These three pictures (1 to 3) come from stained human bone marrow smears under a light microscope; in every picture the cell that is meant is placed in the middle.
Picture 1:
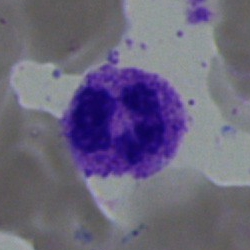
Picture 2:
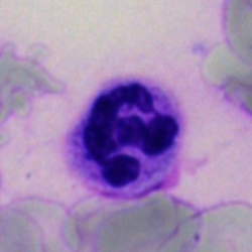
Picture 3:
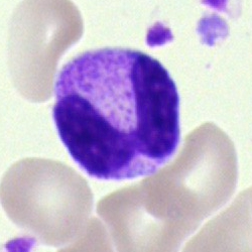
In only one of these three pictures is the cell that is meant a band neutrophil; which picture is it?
3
